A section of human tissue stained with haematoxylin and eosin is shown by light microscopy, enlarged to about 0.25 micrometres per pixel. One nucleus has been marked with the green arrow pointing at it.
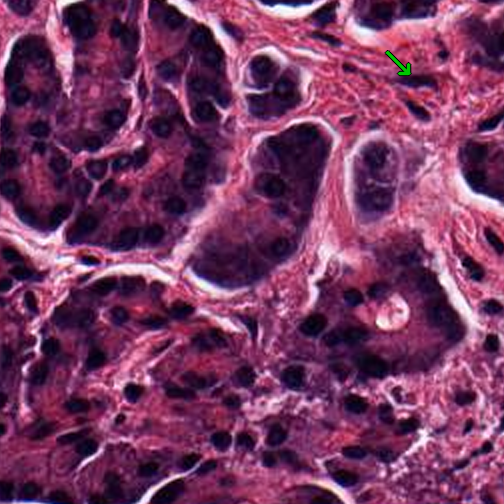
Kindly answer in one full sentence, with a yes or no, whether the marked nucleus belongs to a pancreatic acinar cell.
No, it is a supporting cell, not a pancreatic acinar cell, to which the marked nucleus belongs.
